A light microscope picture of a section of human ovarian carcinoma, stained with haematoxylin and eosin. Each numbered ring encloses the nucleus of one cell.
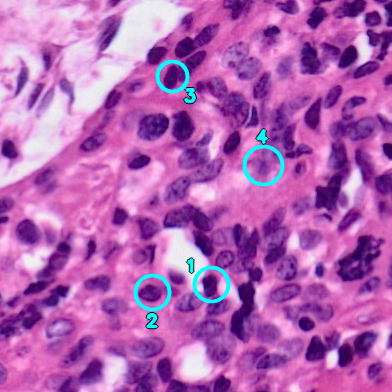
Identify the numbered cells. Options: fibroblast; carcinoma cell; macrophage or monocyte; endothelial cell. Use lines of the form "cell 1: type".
cell 1: carcinoma cell
cell 2: macrophage or monocyte
cell 3: carcinoma cell
cell 4: carcinoma cell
